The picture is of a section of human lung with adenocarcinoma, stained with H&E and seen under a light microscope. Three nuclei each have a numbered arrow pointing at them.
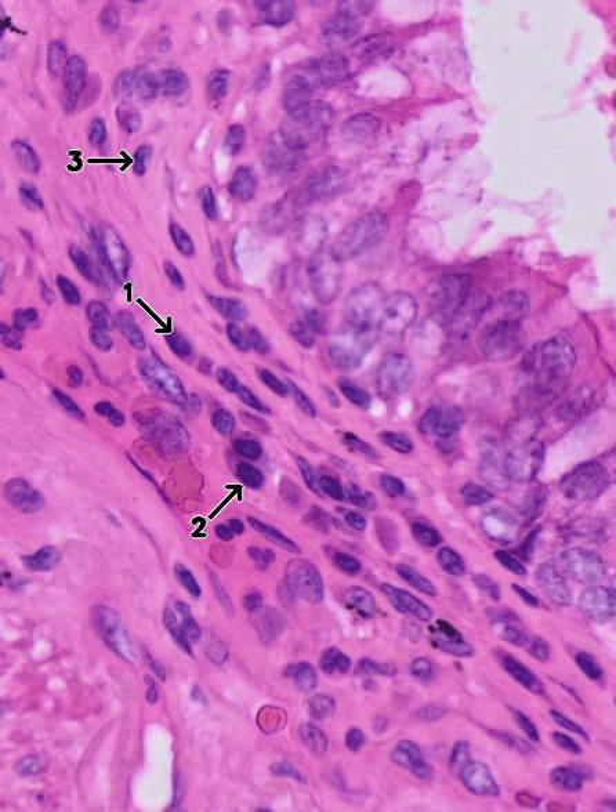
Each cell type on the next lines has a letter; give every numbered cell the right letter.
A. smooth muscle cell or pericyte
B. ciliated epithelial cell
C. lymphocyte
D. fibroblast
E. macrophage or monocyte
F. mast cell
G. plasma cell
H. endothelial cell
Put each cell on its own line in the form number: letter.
1: G
2: G
3: F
